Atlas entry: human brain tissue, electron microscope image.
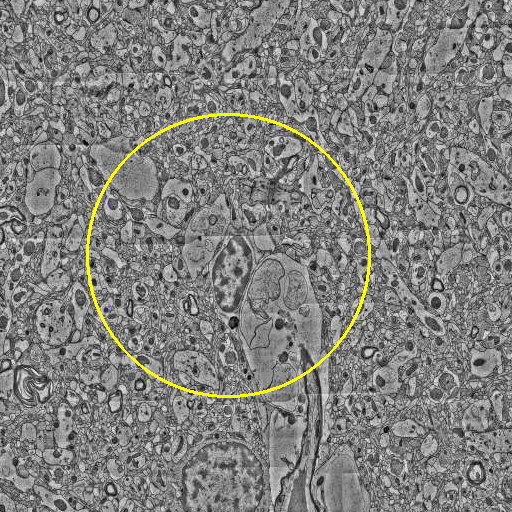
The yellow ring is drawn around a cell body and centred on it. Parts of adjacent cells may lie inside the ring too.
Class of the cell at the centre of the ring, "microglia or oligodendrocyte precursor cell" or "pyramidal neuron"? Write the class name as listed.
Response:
microglia or oligodendrocyte precursor cell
